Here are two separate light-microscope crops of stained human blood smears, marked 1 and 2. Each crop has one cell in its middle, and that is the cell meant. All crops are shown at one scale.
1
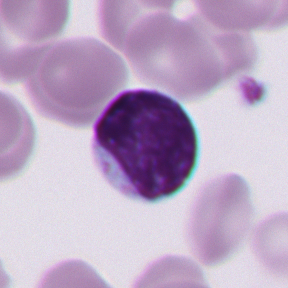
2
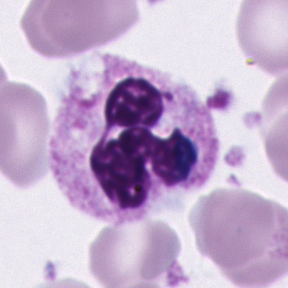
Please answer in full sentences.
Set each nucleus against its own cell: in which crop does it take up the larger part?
It is the cell in crop 1 that is filled more by its nucleus.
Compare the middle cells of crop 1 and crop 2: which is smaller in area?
It is the cell in crop 1; the cell in crop 2 has about 2 times its area.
